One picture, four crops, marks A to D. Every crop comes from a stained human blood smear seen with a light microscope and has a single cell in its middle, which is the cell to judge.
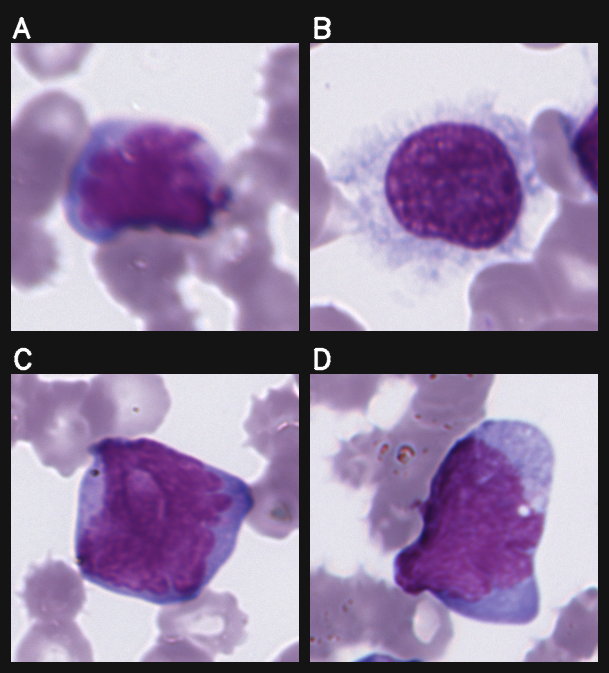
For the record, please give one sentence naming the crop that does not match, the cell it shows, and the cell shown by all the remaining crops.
Of these crops, only crop B is a hairy cell; the others are blasts.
